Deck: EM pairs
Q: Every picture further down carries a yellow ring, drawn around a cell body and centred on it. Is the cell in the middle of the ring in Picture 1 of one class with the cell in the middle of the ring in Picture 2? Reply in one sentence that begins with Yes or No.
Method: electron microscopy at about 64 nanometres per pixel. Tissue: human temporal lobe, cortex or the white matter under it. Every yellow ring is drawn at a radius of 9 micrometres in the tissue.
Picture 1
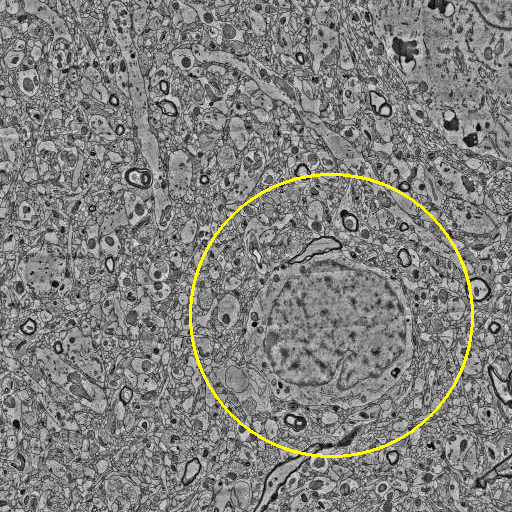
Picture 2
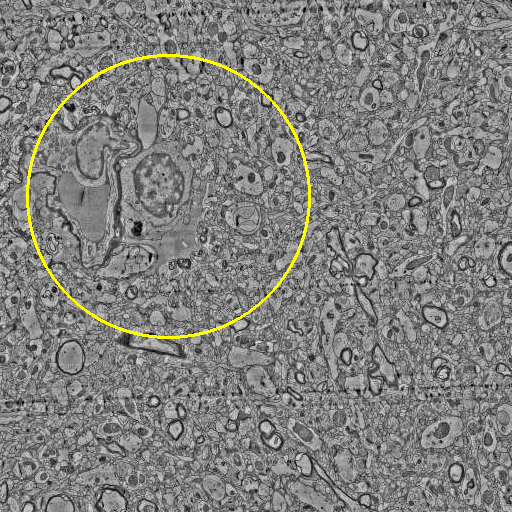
No, the cell centred in the ring of Picture 1 and the one in Picture 2 belong to separate classes.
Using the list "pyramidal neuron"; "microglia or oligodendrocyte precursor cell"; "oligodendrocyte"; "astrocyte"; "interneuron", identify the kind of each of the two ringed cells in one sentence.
The first is an interneuron and the second is an oligodendrocyte.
